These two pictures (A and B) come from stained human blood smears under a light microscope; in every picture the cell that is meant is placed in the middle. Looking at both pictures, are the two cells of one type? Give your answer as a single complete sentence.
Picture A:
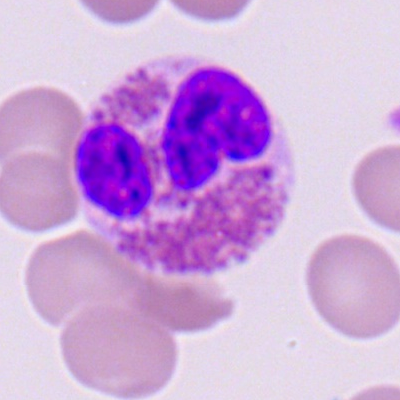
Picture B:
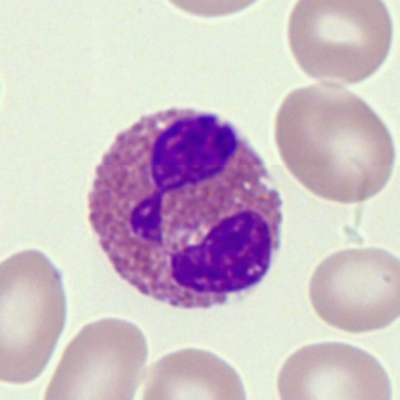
Yes; the cells in both pictures are eosinophils.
